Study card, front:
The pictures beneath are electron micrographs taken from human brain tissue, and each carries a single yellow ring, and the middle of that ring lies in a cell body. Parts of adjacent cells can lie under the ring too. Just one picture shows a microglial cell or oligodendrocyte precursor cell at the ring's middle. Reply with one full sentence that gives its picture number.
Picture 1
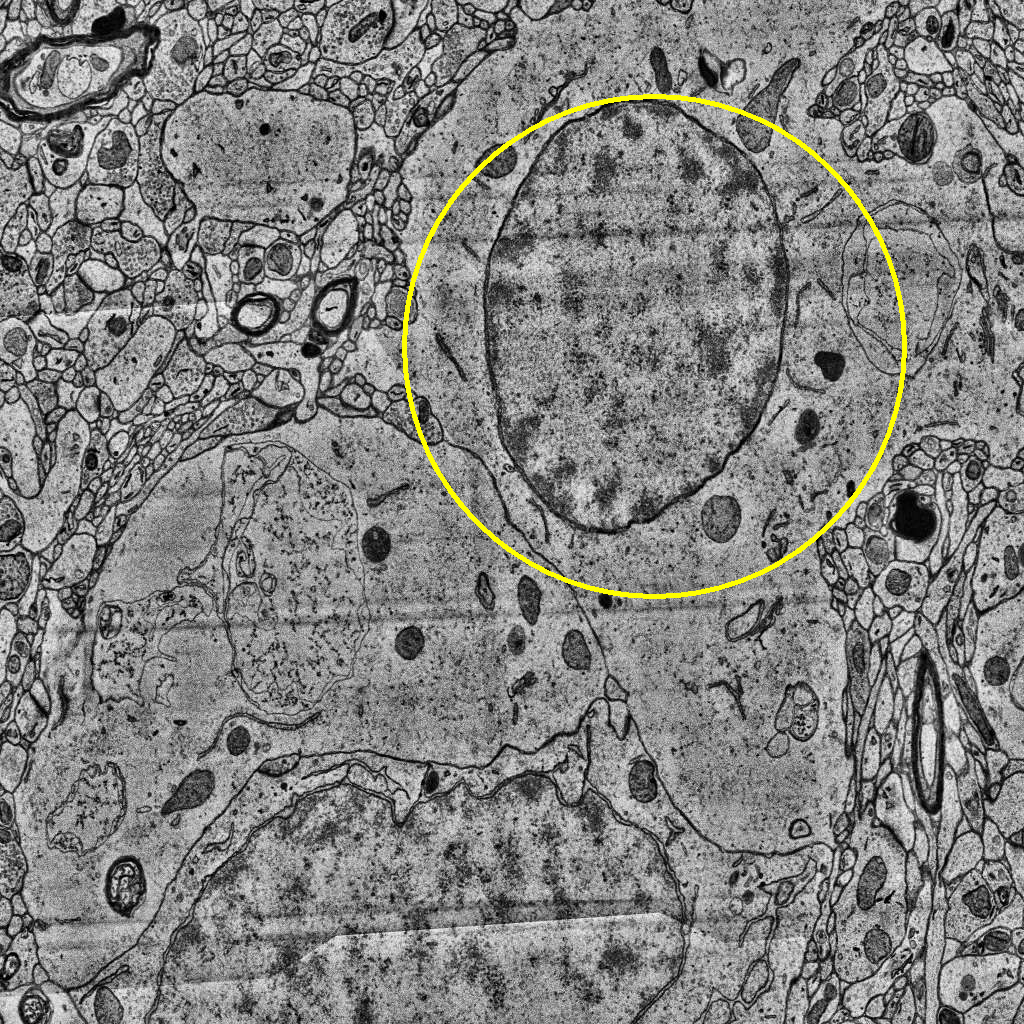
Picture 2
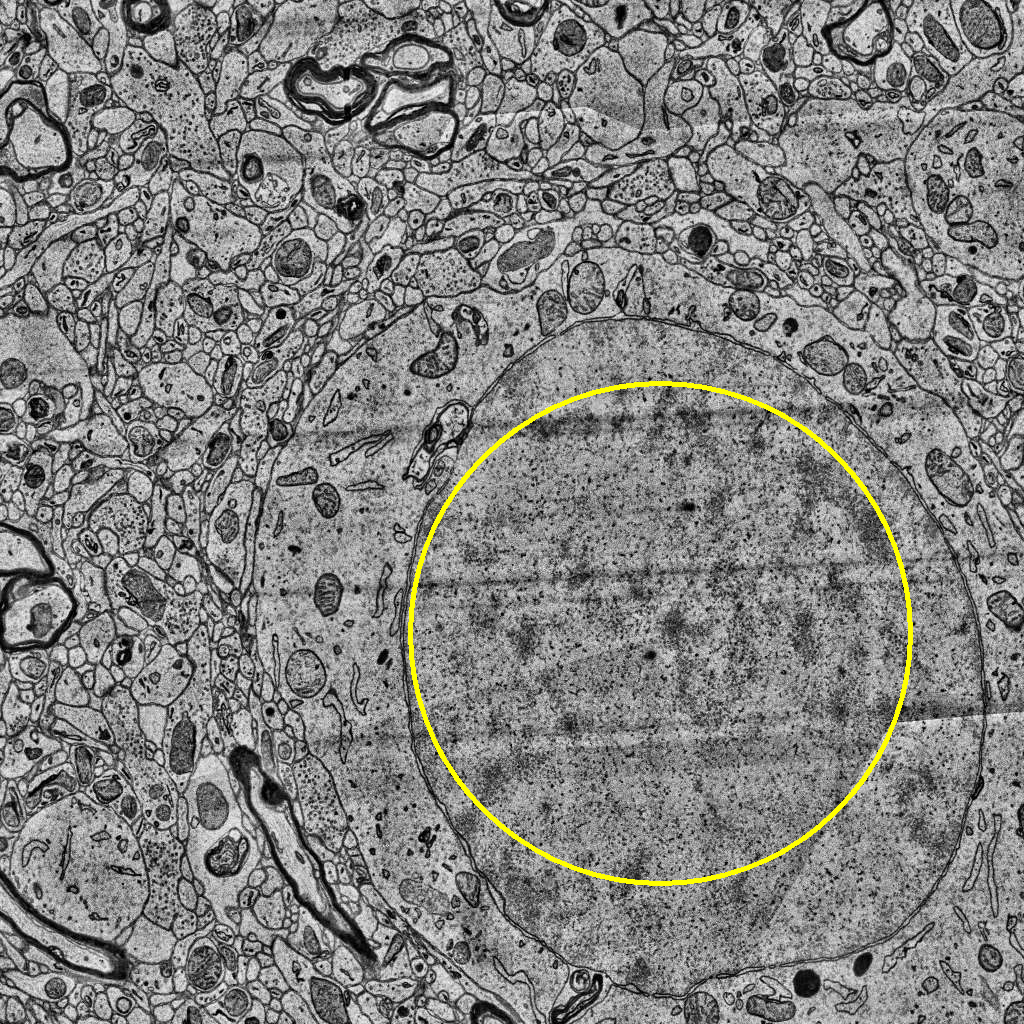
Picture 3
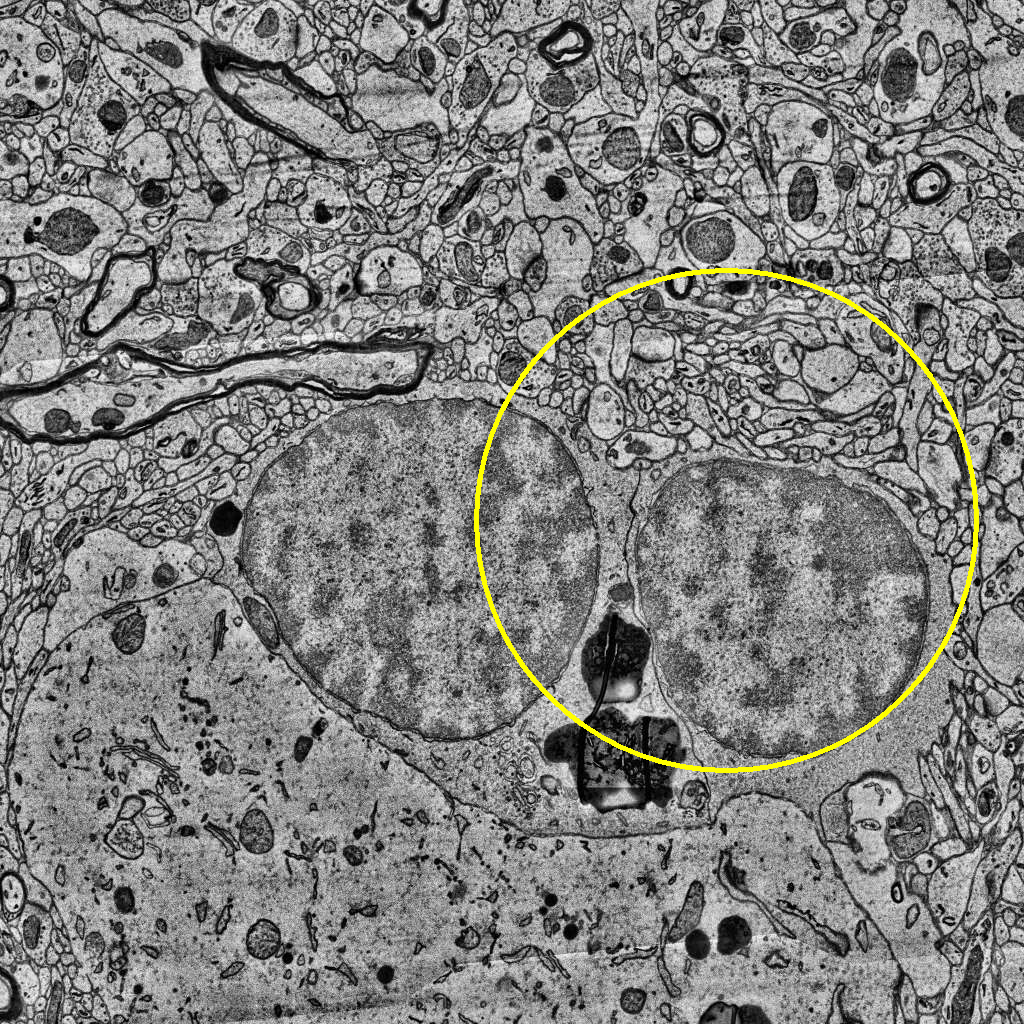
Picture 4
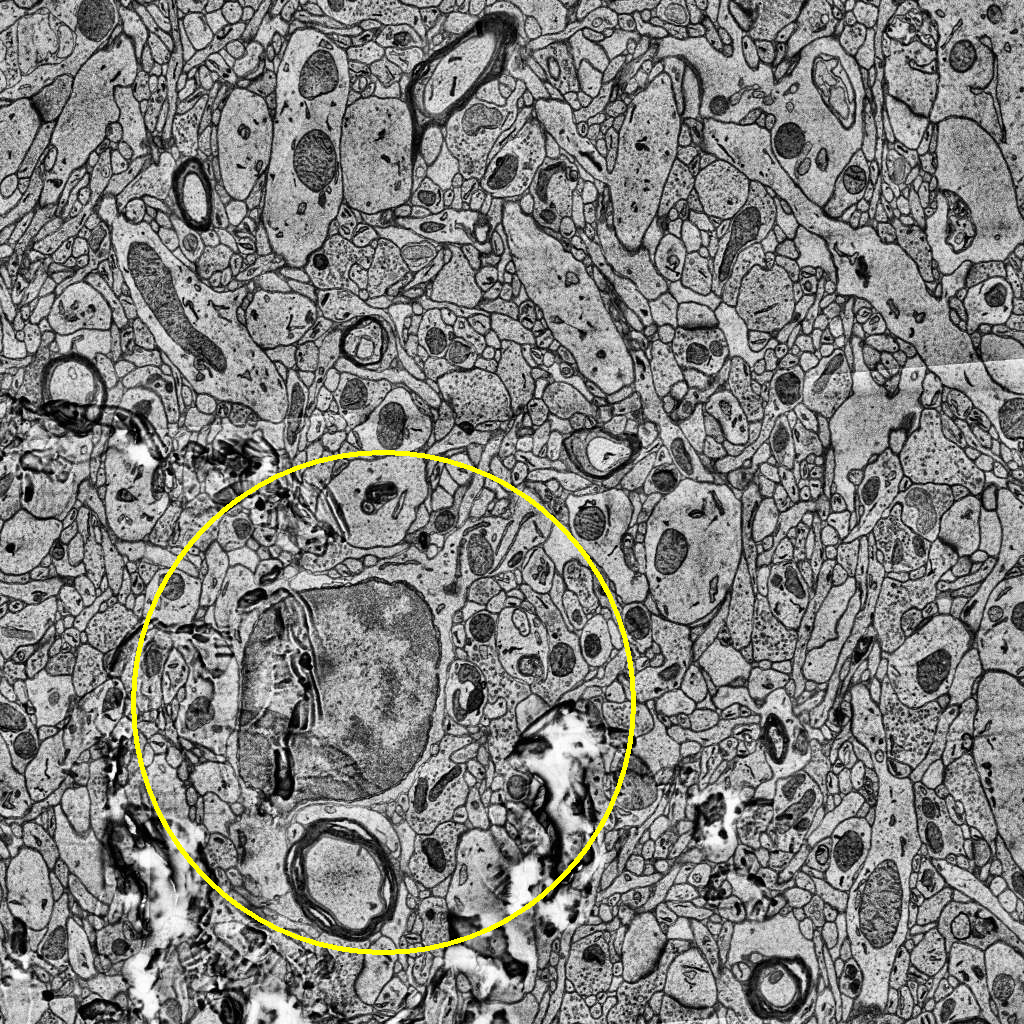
Picture 4 is the one whose ring has its centre within the requested cell.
